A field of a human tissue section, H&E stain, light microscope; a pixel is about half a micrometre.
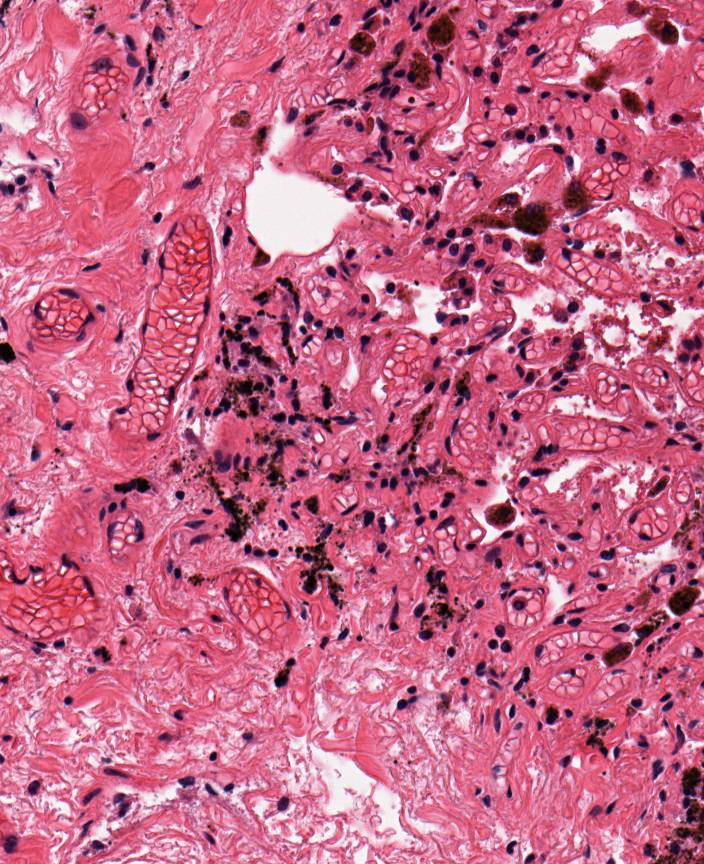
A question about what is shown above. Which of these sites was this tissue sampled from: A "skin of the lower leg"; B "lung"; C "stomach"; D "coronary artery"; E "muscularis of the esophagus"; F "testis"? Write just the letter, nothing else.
B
